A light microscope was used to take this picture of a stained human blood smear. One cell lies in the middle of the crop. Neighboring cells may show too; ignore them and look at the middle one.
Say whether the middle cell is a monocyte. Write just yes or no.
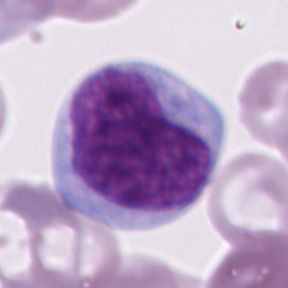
yes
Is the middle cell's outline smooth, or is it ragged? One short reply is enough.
The cell shows a smooth outline that lacks any surface projections.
